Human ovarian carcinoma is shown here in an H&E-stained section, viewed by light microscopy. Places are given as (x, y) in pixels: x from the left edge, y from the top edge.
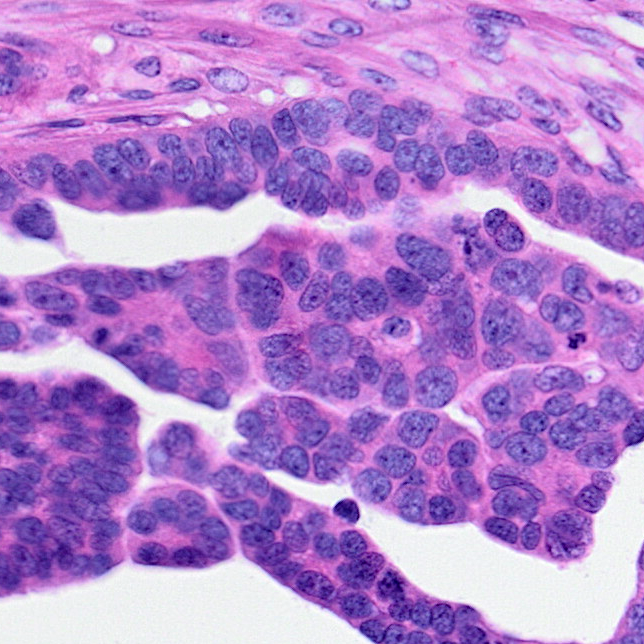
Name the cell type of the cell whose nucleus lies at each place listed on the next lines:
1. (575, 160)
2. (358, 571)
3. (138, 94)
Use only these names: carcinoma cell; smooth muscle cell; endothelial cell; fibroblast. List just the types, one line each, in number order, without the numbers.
fibroblast
carcinoma cell
fibroblast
